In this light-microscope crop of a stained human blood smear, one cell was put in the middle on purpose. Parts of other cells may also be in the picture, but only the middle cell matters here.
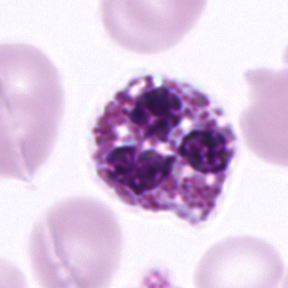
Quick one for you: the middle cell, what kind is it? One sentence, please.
The cell in the middle of the field of view is an eosinophil.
